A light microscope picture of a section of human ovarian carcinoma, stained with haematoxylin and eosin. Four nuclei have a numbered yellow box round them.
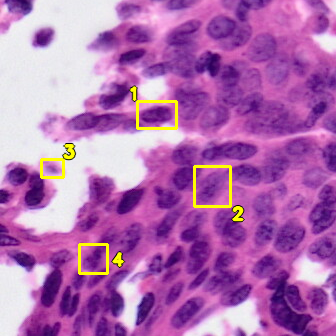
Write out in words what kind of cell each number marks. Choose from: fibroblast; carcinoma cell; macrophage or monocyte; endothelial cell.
Cell 1 is a carcinoma cell, cell 2 is a carcinoma cell, cell 3 is a macrophage or monocyte and cell 4 is a carcinoma cell.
